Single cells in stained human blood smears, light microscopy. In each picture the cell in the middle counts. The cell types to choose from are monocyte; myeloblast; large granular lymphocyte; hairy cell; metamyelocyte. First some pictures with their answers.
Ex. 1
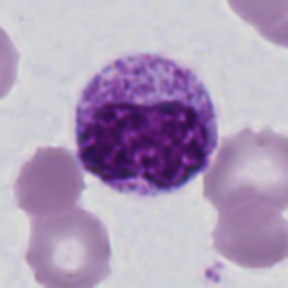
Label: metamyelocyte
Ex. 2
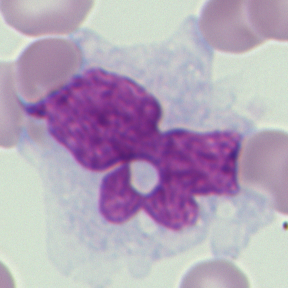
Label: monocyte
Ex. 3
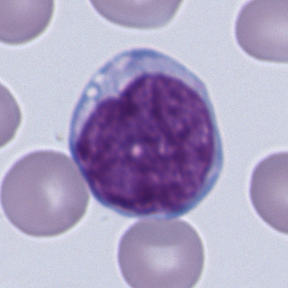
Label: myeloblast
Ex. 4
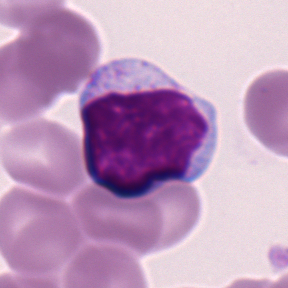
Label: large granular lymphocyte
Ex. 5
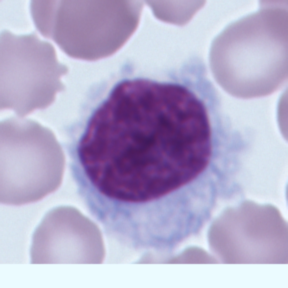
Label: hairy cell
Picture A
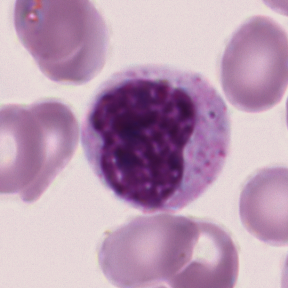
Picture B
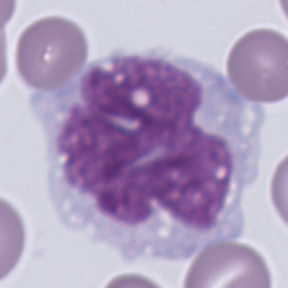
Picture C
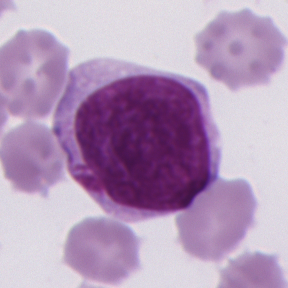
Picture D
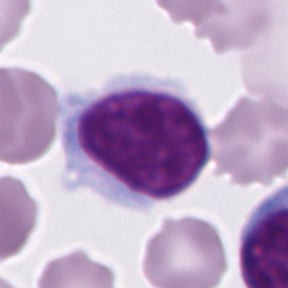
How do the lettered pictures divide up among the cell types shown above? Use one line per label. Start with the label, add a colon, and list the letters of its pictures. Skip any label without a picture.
monocyte: B
myeloblast: C
hairy cell: D
metamyelocyte: A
